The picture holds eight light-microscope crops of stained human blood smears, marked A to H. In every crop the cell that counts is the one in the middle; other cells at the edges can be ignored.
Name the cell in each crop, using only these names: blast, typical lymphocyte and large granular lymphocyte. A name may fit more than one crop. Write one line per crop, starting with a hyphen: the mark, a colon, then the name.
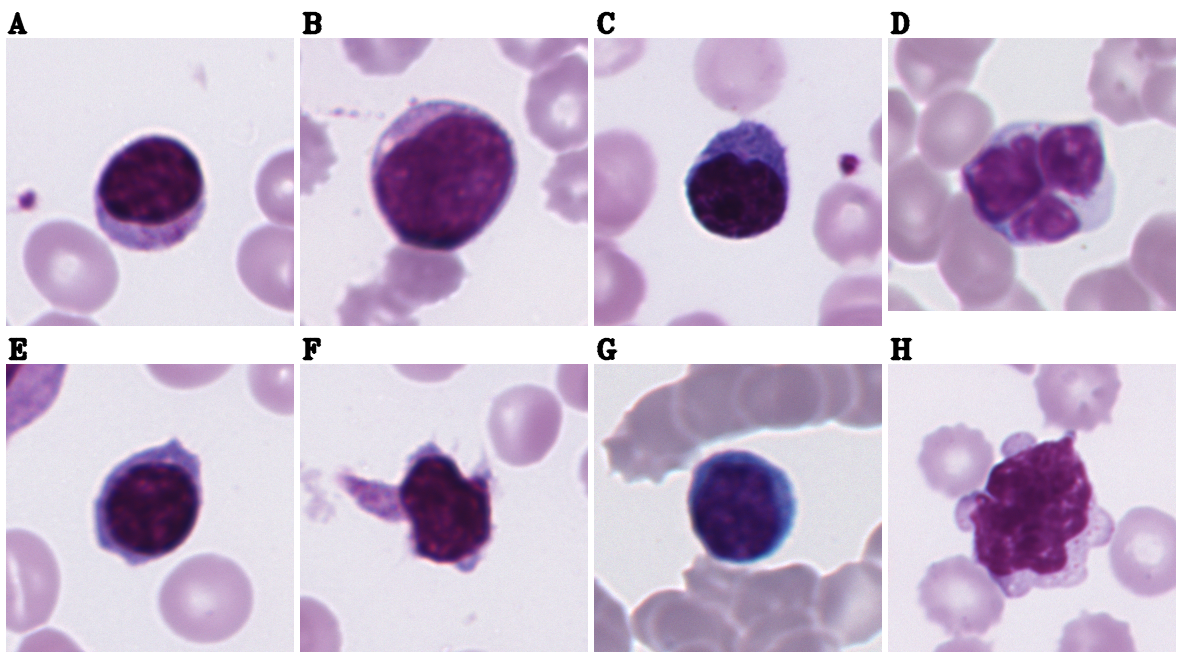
- A: large granular lymphocyte
- B: blast
- C: typical lymphocyte
- D: large granular lymphocyte
- E: typical lymphocyte
- F: large granular lymphocyte
- G: typical lymphocyte
- H: large granular lymphocyte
